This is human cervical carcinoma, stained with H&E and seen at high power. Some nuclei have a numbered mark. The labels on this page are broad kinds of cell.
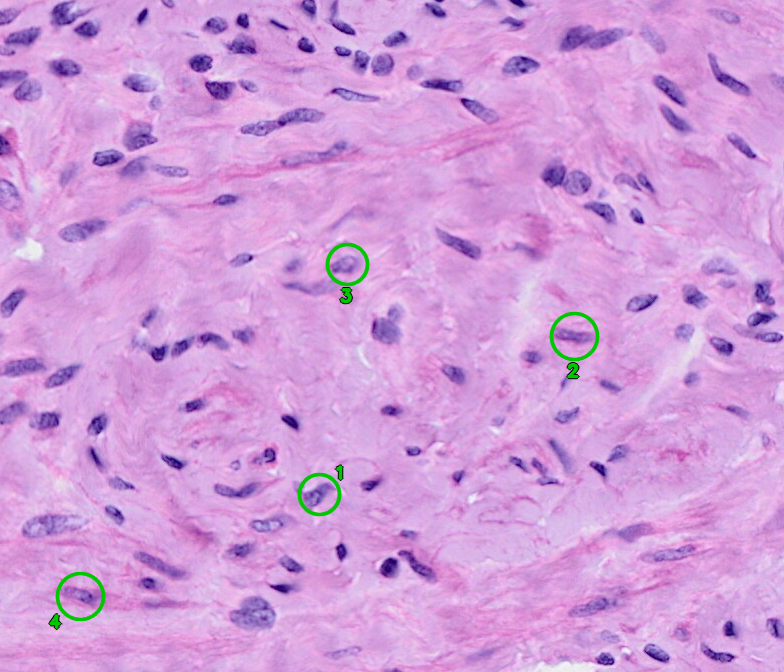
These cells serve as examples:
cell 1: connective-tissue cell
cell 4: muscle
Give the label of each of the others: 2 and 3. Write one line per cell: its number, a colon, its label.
2: muscle
3: connective-tissue cell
